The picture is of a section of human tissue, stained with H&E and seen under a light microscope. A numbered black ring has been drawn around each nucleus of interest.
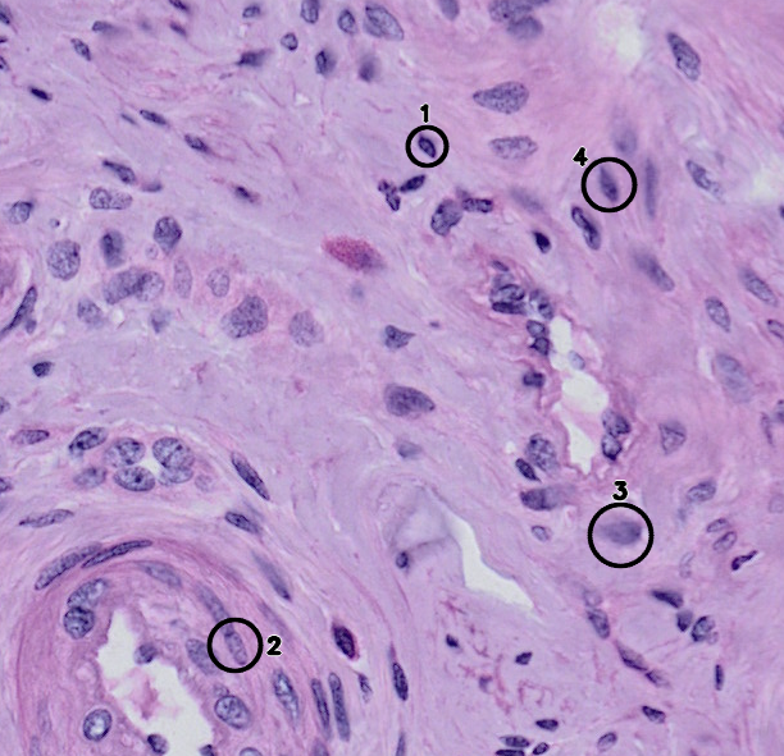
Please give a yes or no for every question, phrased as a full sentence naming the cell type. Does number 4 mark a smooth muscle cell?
No, cell number 4 is a fibroblast; it is not a smooth muscle cell.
